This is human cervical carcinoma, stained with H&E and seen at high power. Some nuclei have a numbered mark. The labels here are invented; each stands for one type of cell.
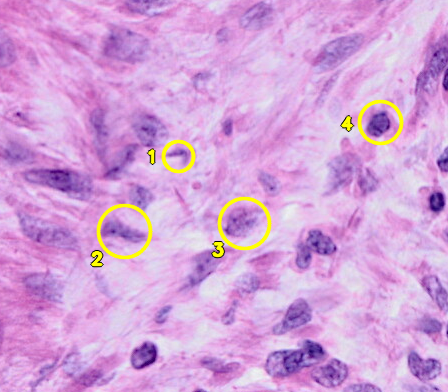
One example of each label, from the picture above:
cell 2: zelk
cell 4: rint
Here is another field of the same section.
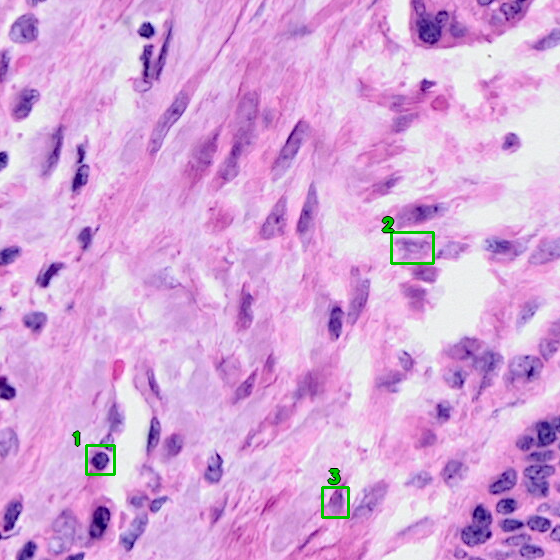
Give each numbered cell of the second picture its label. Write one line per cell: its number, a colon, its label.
1: rint
2: zelk
3: zelk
